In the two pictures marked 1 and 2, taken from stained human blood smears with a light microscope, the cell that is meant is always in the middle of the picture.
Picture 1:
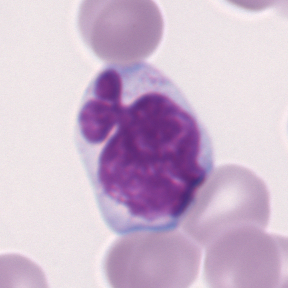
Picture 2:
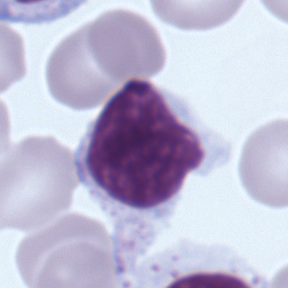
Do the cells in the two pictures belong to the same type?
yes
